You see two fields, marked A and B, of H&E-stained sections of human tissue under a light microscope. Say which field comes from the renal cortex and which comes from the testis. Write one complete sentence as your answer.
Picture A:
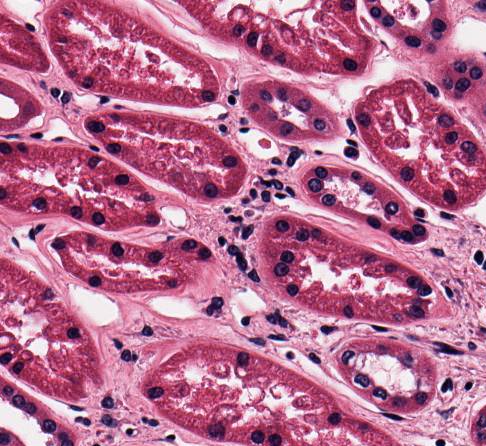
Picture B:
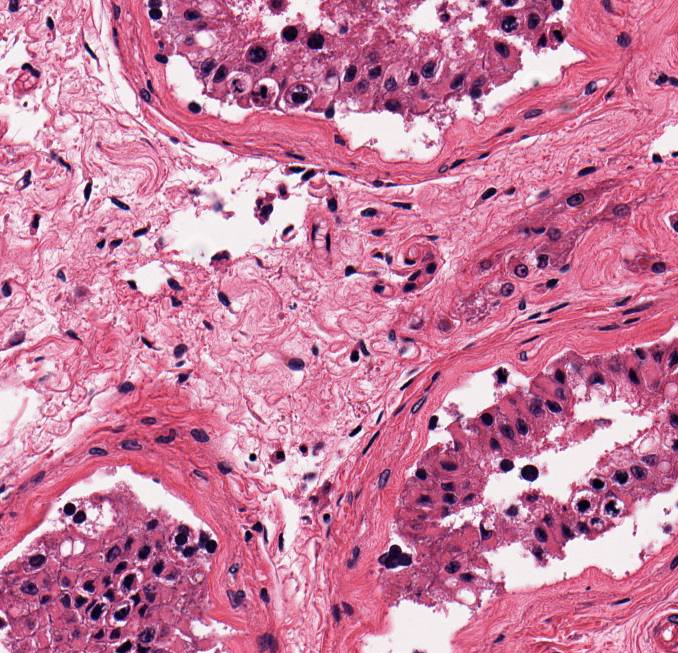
Picture A comes from the renal cortex; picture B comes from the testis.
